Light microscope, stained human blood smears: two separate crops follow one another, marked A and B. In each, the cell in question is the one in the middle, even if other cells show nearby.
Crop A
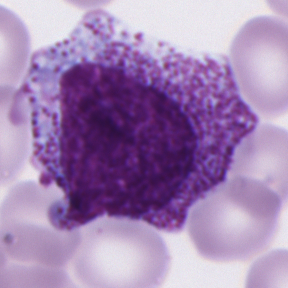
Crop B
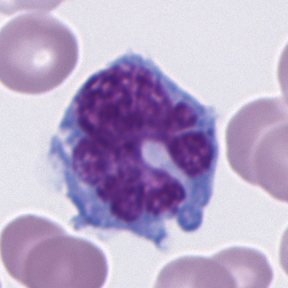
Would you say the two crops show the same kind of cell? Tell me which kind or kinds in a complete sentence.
No, crop A gives us a promyelocyte and crop B gives us a monocyte.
